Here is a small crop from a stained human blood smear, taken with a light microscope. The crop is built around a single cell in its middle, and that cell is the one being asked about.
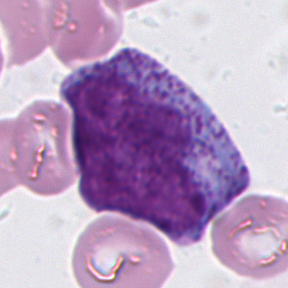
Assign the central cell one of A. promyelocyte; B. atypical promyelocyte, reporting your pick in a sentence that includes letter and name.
Of the options given, A is correct, the central cell being a promyelocyte.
